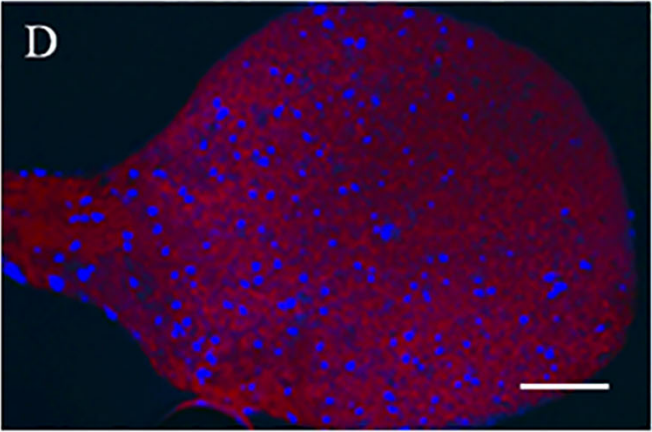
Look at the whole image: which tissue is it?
Leaves.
